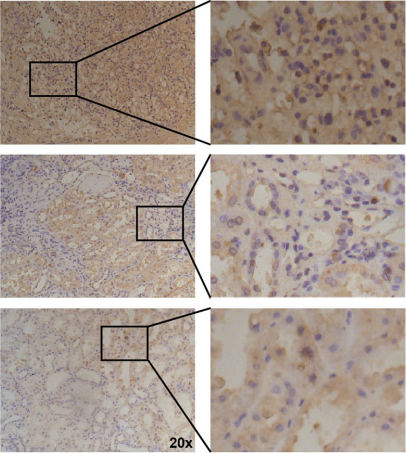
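The middle and lower rows show tubules in cross-section, each lined by epithelial cells around a small lumen. The epithelial cells have blue nuclei, and their cytoplasm is stained brown, deeply in the top row and more faintly in the lower rows. Between the tubules lie scattered smaller cells with blue nuclei.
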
